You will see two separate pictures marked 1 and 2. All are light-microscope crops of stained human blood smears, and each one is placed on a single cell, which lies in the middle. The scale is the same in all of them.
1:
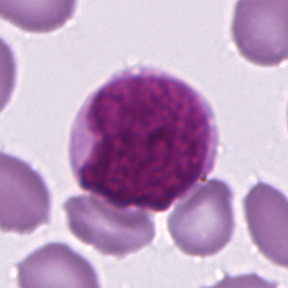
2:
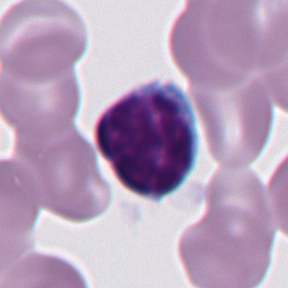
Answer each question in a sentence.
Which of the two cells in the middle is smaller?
The cell in picture 2 is smaller; the one in picture 1 has about 2.5 times its area.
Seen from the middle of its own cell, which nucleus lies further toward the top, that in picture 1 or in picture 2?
The nucleus in picture 1 lies further toward the top of its cell.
